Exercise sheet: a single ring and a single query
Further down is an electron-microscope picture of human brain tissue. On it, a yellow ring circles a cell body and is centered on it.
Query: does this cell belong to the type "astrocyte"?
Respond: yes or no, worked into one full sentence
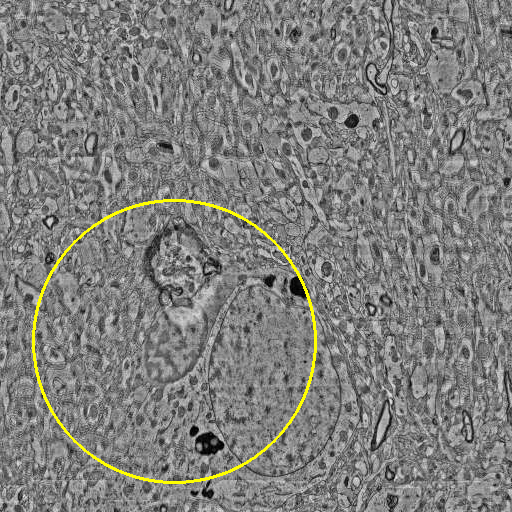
No, this ringed cell, found at the center of the ring in the picture, is of a different type.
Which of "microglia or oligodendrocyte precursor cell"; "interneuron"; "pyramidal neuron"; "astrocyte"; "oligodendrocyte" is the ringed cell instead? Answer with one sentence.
At the centre of the ring sits an oligodendrocyte.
